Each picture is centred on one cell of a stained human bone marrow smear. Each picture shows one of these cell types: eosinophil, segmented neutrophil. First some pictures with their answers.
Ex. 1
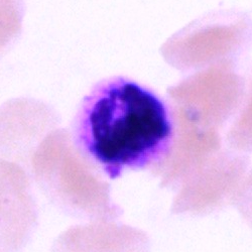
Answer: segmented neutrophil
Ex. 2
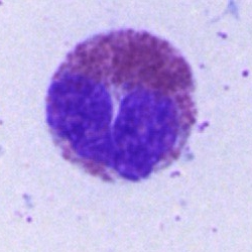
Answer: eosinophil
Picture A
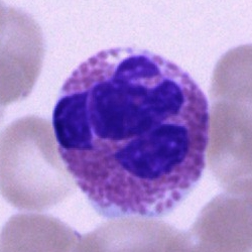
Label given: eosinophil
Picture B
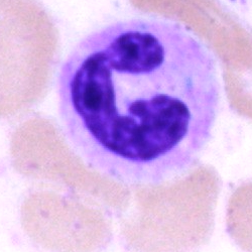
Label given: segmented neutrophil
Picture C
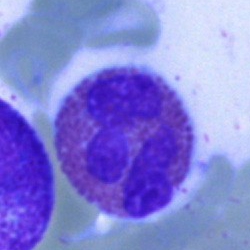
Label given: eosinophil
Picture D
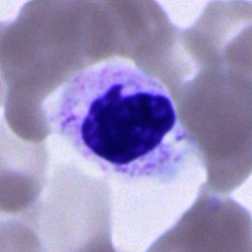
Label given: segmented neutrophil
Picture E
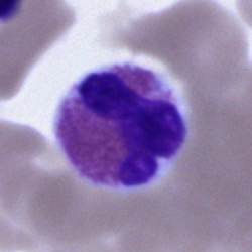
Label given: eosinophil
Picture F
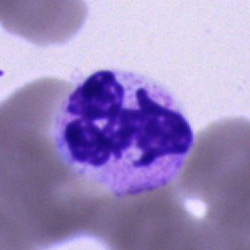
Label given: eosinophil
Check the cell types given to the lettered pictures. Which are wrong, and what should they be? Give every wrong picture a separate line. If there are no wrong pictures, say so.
Wrong: F (eosinophil); correct: segmented neutrophil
